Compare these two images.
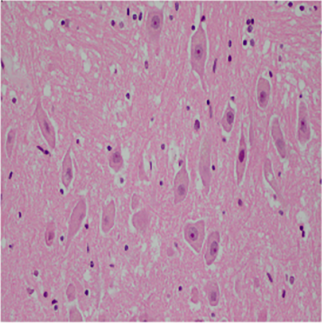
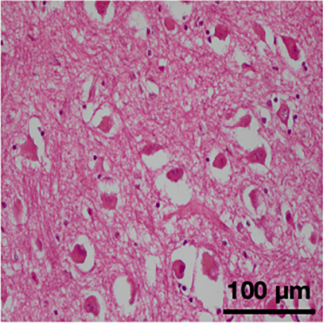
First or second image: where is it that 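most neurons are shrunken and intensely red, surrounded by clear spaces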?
The second image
